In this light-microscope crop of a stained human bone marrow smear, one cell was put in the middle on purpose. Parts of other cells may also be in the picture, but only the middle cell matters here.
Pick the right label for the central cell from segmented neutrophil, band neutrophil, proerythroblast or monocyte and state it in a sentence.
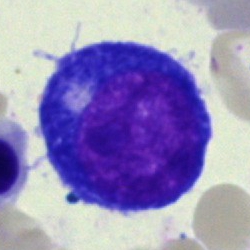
The middle of this crop is occupied by a proerythroblast.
